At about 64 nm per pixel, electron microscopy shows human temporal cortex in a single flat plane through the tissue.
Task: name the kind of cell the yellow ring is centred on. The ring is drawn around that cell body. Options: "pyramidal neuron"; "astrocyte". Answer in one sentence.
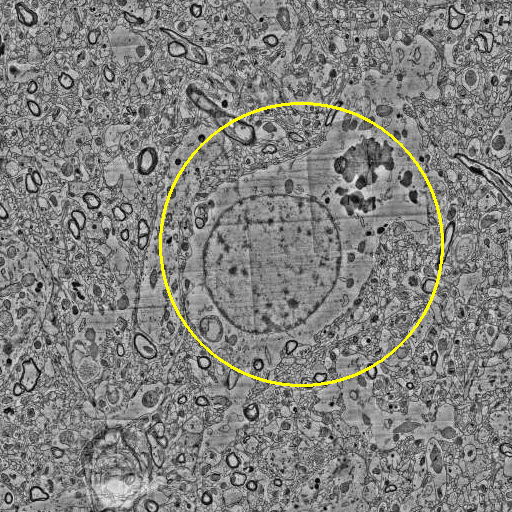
This cell body belongs to an astrocyte.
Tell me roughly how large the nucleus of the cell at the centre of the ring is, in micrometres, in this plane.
In this plane the nucleus measures roughly 9 micrometres across.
